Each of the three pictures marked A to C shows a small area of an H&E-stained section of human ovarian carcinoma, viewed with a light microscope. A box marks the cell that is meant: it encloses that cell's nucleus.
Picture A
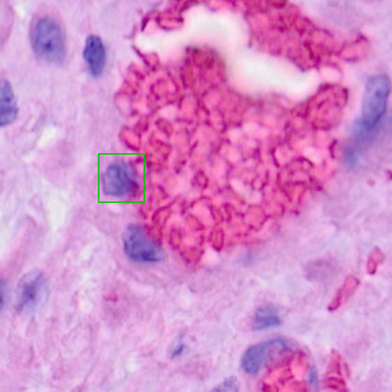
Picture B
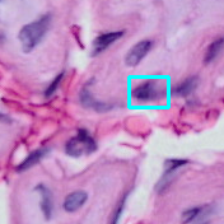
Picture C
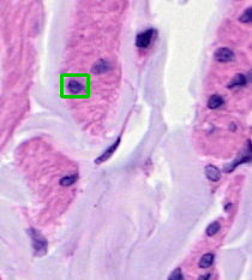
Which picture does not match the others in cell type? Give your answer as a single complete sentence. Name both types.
The others show endothelial cells, but picture C shows a smooth muscle cell.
